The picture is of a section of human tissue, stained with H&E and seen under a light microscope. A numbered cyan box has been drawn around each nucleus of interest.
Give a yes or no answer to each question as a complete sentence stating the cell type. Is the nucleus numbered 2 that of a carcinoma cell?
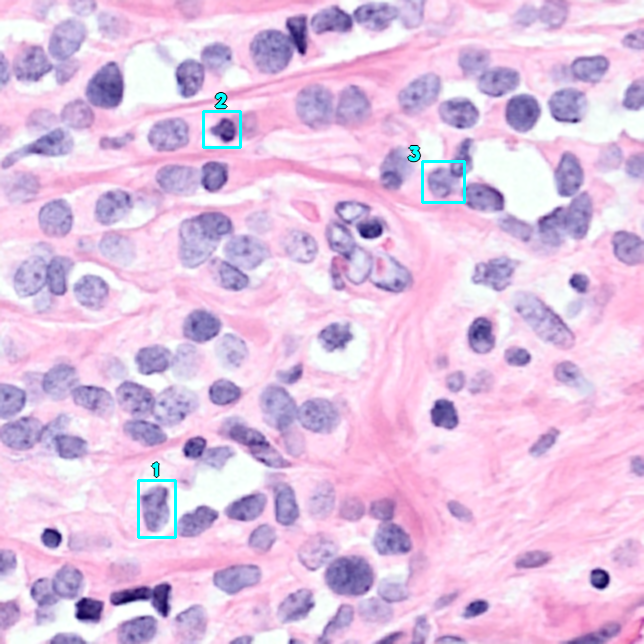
No, at number 2 sits a lymphocyte, not a carcinoma cell.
